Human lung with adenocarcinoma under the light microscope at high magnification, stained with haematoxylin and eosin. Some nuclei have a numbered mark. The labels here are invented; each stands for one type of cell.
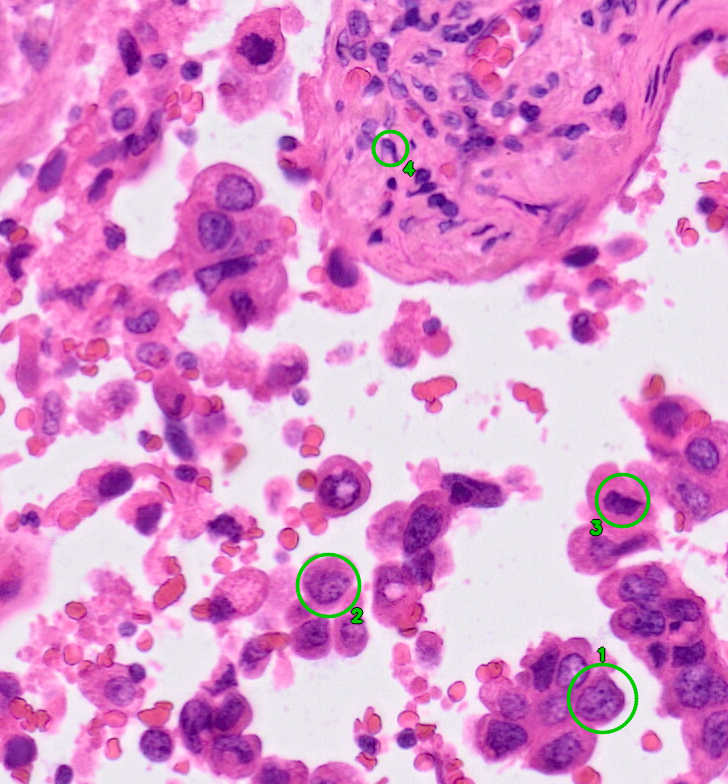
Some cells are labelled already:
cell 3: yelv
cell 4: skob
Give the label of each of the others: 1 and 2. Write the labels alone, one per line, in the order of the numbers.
yelv
yelv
